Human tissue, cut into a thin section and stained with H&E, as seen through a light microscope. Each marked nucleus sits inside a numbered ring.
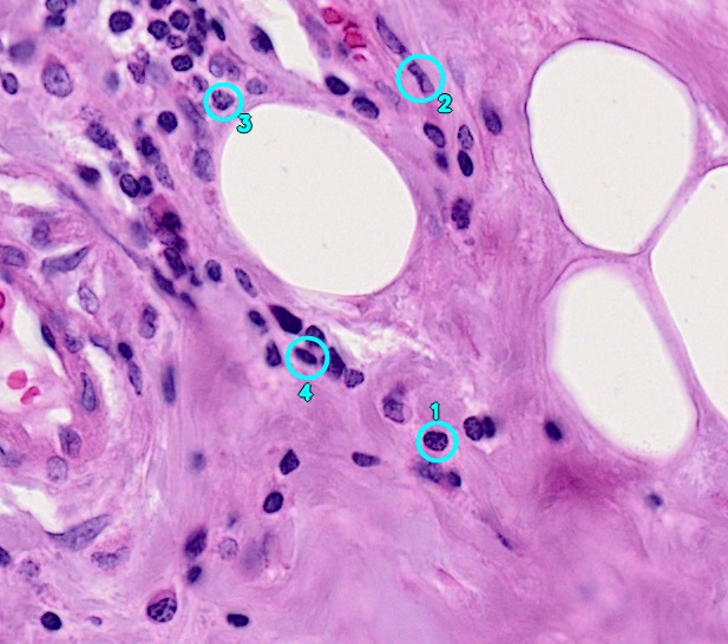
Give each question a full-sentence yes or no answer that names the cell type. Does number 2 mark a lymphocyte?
No, the cell labelled number 2 is not a lymphocyte; it is a fibroblast.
